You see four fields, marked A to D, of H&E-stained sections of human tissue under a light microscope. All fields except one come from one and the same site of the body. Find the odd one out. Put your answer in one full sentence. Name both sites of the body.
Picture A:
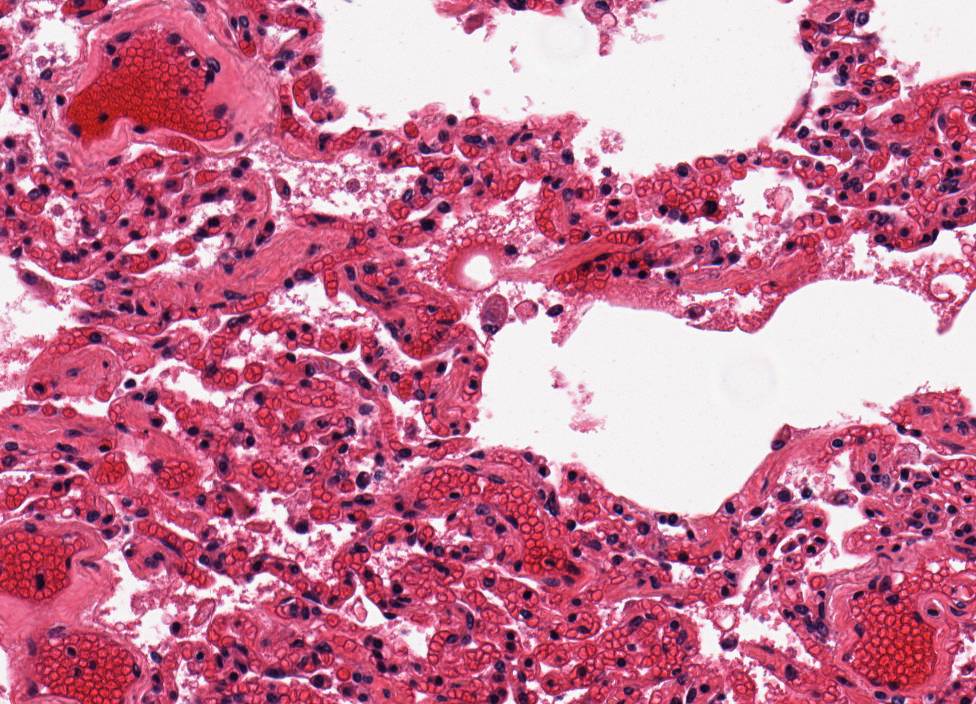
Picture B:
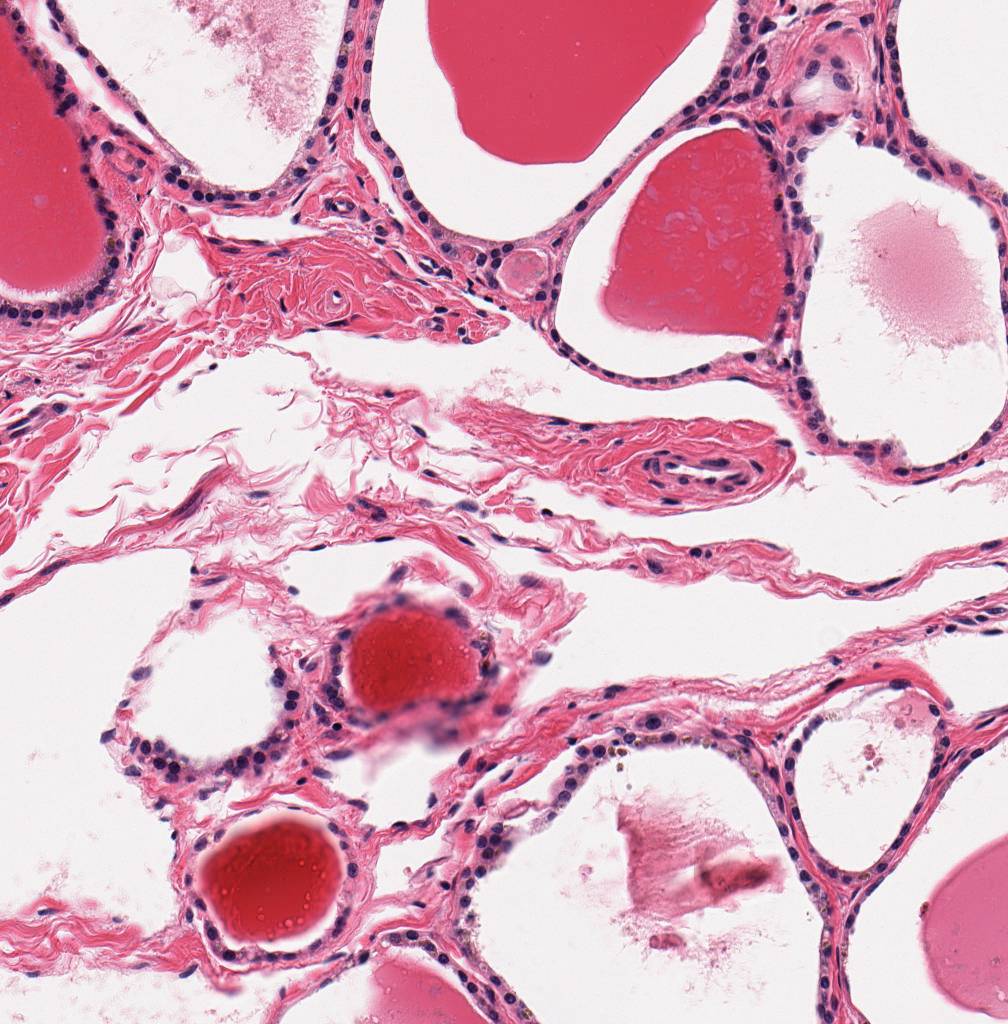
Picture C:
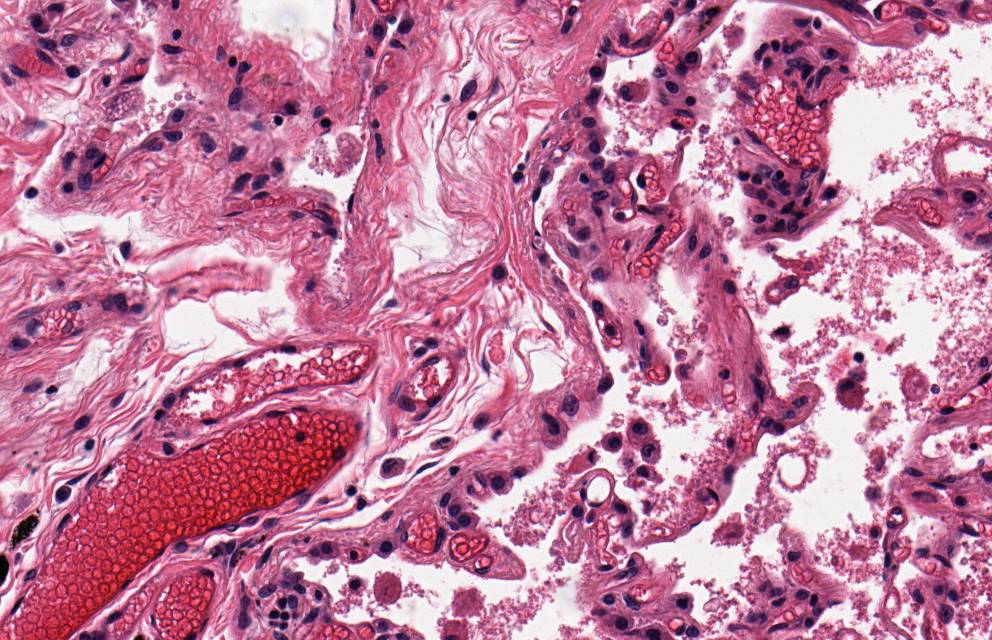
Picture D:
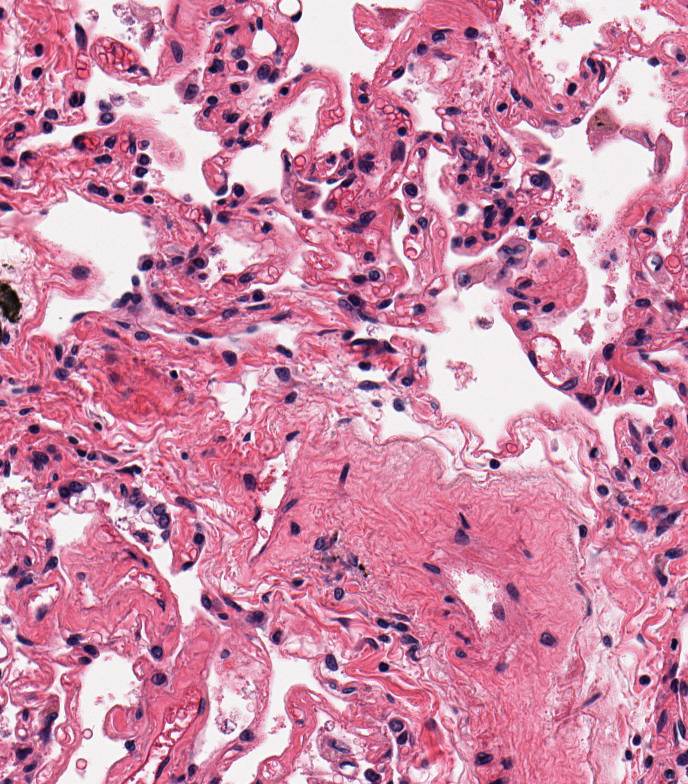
All pictures except B come from the lung; picture B comes from the thyroid.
